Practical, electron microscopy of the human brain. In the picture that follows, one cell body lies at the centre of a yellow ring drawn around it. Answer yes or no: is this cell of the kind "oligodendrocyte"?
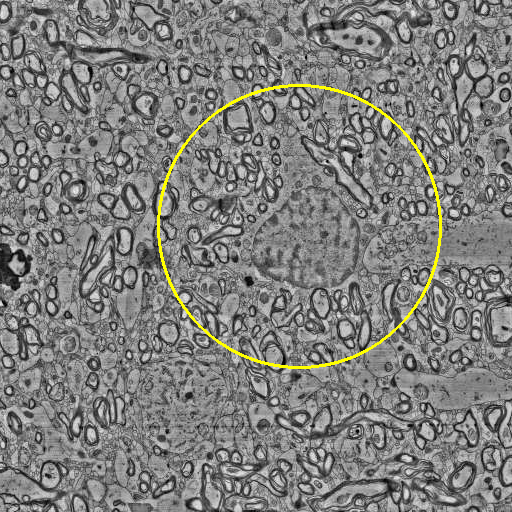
yes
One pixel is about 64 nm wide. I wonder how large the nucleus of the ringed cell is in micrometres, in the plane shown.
About 7 micrometers across, in this plane.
